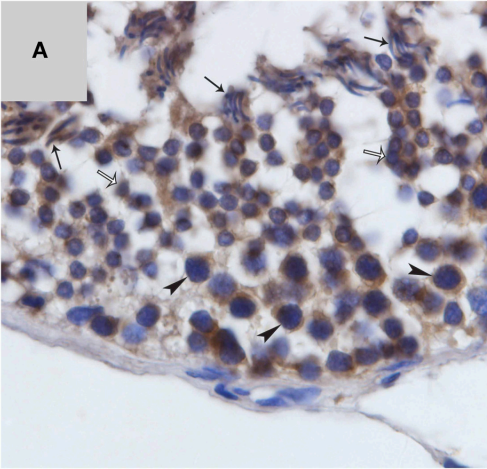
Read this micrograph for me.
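Seminiferous epithelium of the testis, resting on a thin fibrous wall at the bottom, with many layers of round germ cells having blue round nuclei and brown-stained cytoplasm. Larger round cells with dense brown cytoplasm lie near the base, while bundles of spermatozoa with slender dark elongated heads lie toward the lumen at the top.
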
